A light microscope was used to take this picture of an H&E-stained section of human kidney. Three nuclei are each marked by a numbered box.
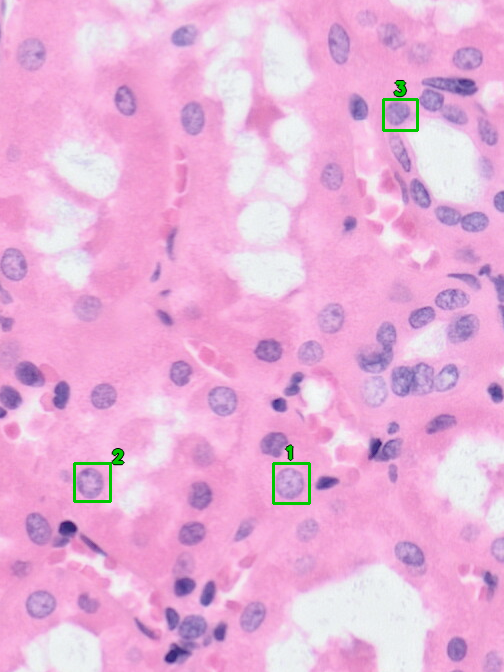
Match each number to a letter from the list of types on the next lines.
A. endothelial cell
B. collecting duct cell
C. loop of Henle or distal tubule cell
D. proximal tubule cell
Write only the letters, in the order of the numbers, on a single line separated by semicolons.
D; D; B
